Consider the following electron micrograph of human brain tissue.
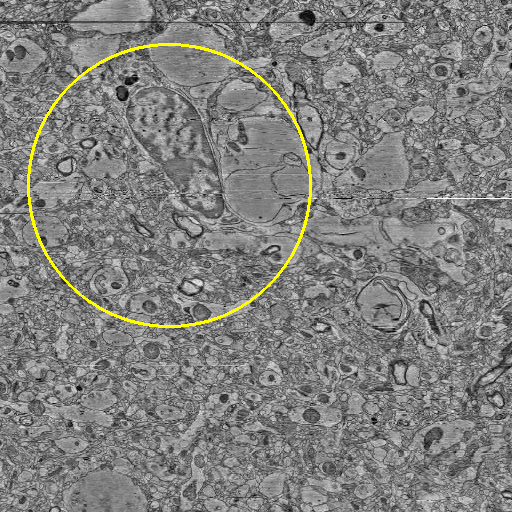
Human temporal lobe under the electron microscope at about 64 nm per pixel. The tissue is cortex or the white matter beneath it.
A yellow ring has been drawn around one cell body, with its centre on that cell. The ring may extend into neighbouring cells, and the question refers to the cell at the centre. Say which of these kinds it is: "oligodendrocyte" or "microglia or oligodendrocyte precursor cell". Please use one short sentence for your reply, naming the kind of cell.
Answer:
The centre of the ring falls on a microglial cell or oligodendrocyte precursor cell.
